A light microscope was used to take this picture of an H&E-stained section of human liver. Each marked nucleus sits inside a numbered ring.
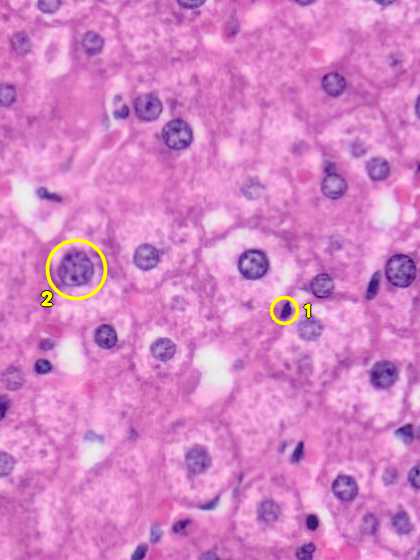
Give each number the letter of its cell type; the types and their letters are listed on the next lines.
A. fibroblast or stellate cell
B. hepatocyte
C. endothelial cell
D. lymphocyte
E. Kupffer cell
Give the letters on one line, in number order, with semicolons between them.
A; B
